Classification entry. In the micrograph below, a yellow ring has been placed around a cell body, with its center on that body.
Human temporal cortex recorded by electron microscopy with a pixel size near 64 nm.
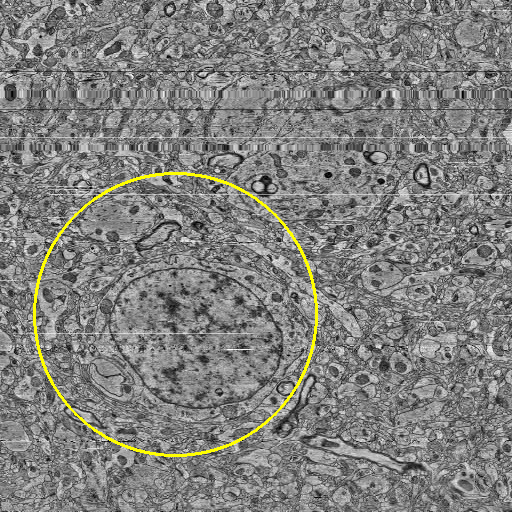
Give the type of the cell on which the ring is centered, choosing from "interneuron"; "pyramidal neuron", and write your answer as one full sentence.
The cell body at the center of the yellow ring belongs to a pyramidal neuron.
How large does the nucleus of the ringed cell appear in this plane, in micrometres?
In this plane the nucleus is about 11 micrometres by 9.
